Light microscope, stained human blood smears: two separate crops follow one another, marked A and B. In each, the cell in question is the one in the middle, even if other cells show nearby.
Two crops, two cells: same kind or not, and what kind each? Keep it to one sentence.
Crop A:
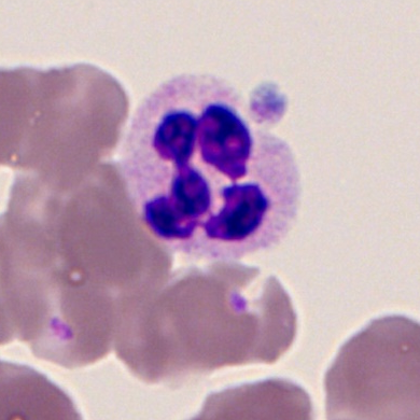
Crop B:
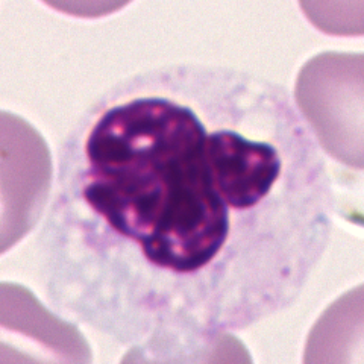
Yes, both crops show segmented neutrophils in the middle.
